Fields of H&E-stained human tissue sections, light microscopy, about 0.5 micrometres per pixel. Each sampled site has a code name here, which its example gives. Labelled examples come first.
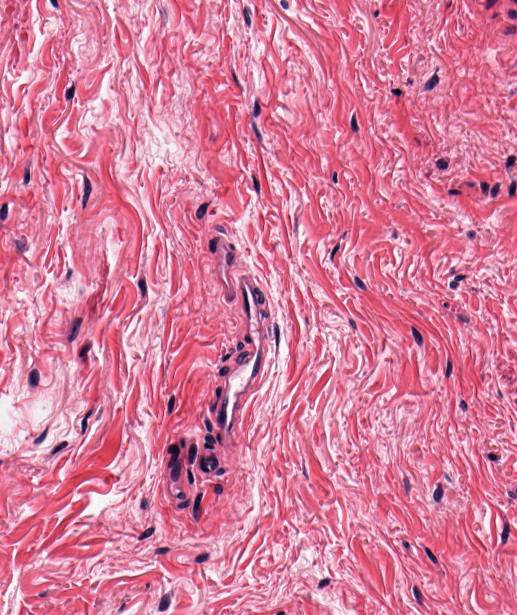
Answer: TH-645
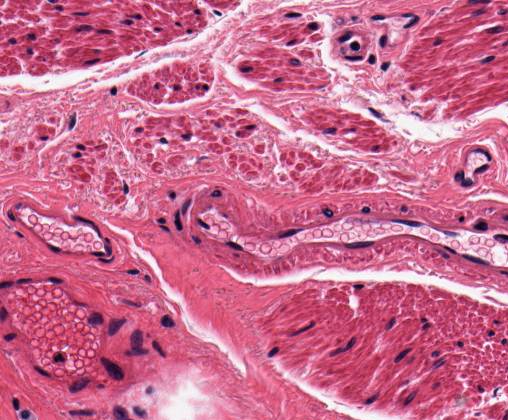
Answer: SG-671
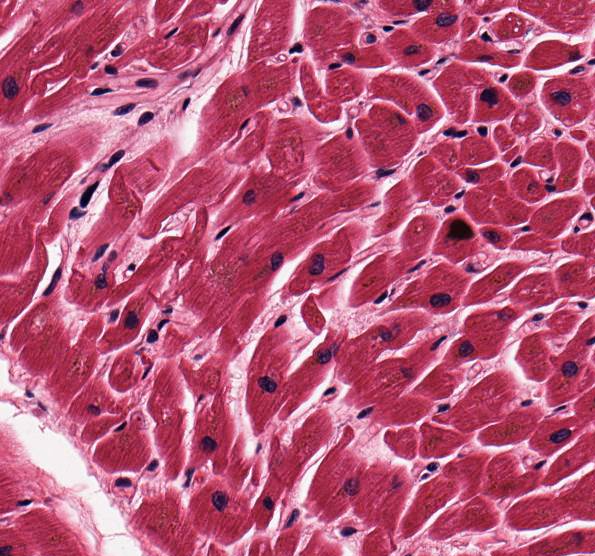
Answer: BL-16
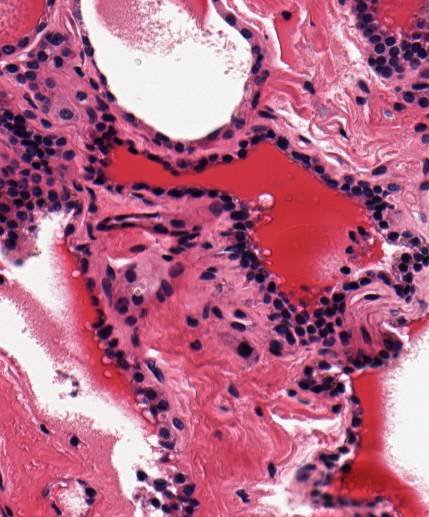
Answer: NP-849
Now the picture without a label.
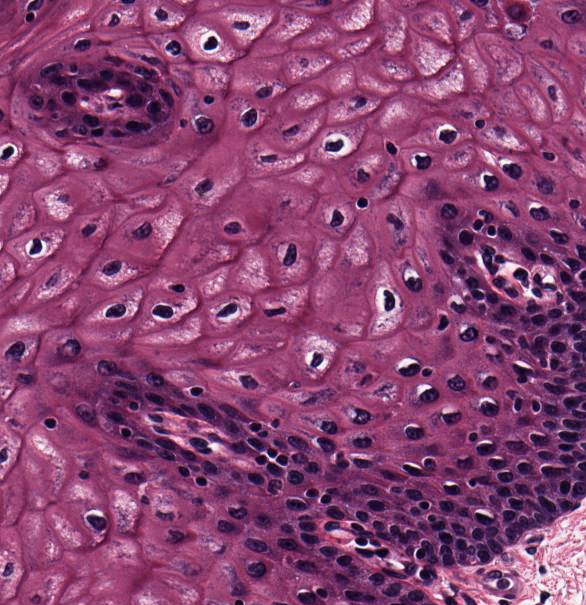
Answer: SG-671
